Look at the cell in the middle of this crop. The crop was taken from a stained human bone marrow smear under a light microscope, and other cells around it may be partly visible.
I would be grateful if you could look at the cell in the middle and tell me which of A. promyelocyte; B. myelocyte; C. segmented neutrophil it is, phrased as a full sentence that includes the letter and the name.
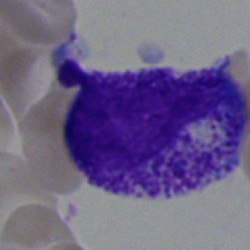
According to option B, which is correct, the cell in the middle is a myelocyte.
